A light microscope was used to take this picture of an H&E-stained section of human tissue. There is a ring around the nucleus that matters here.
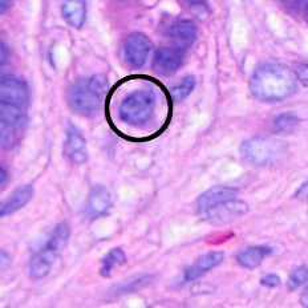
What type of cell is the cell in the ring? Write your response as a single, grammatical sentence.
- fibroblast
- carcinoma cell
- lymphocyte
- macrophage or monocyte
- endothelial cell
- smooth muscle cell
The correct response here is that the cell in the ring is a macrophage or monocyte.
